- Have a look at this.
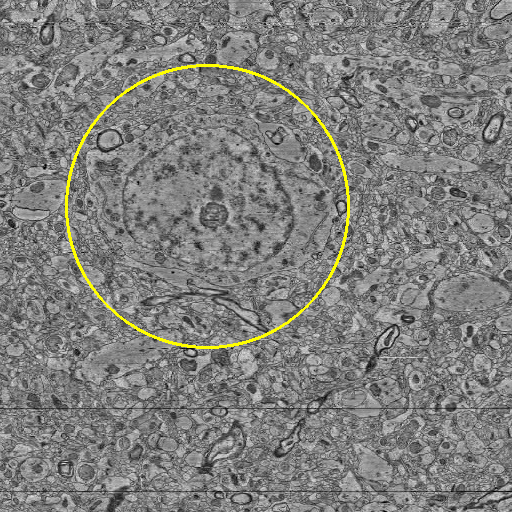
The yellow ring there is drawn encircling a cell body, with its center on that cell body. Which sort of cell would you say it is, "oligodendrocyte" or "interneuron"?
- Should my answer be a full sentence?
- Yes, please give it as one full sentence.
For this picture, an interneuron is the cell where the yellow ring has its center.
